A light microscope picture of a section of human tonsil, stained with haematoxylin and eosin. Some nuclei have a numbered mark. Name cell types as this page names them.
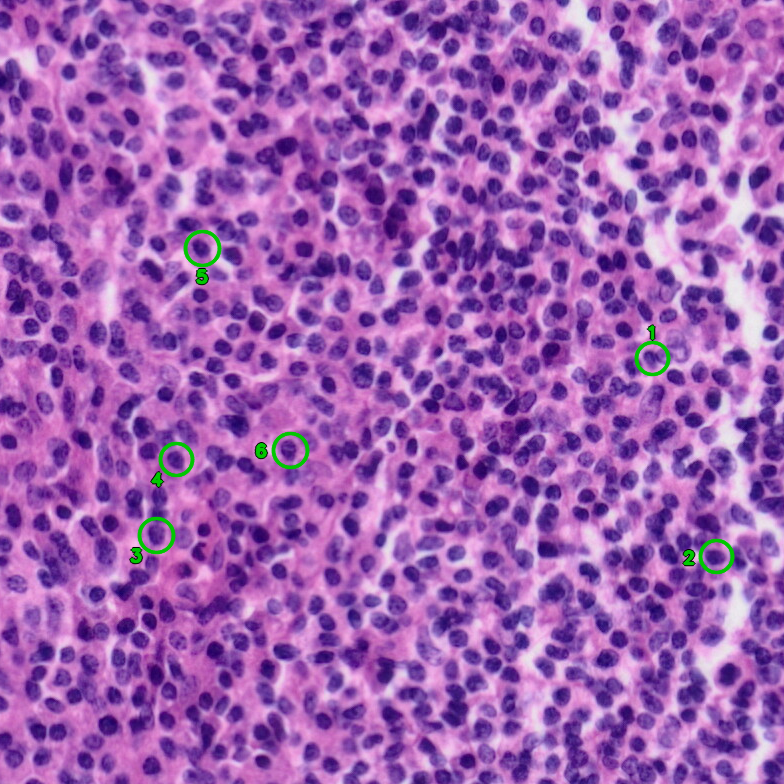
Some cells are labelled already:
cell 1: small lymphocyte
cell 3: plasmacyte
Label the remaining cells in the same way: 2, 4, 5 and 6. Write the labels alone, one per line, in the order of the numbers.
small lymphocyte
plasmacyte
plasmacyte
plasmacyte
